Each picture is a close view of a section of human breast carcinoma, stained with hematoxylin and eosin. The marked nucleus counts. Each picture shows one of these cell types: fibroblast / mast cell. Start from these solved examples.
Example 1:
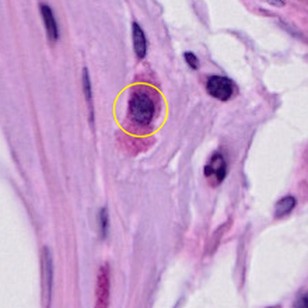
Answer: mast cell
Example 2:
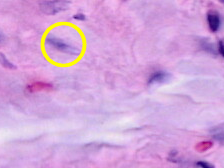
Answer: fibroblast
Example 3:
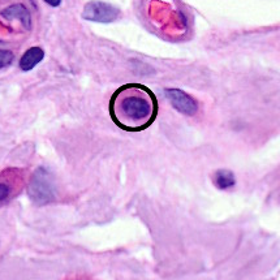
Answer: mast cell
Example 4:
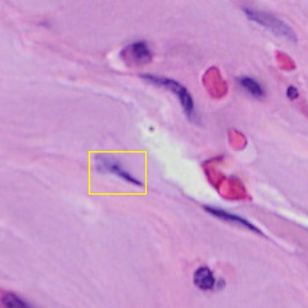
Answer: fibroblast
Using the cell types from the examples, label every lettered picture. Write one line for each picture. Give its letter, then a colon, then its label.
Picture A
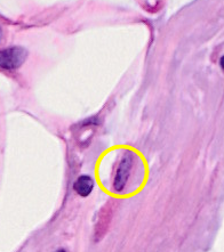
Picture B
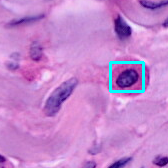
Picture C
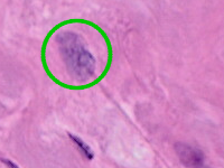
A: mast cell
B: mast cell
C: fibroblast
